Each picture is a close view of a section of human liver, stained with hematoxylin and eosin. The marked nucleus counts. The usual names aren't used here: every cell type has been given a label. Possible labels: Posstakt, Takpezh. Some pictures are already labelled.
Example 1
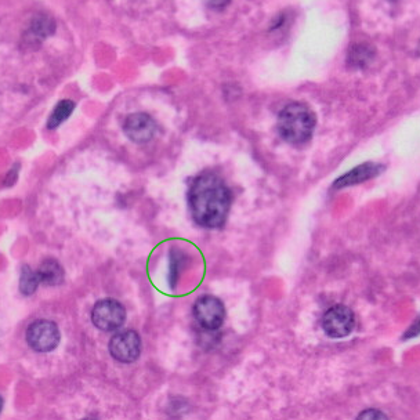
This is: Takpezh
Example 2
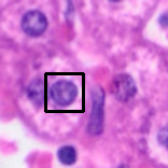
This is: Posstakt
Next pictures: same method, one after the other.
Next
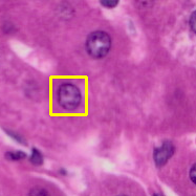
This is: Posstakt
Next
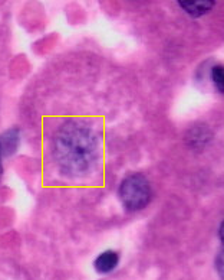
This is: Posstakt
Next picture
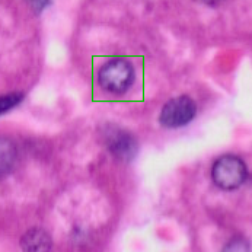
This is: Posstakt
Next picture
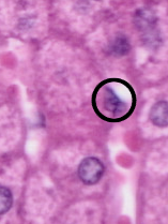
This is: Takpezh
